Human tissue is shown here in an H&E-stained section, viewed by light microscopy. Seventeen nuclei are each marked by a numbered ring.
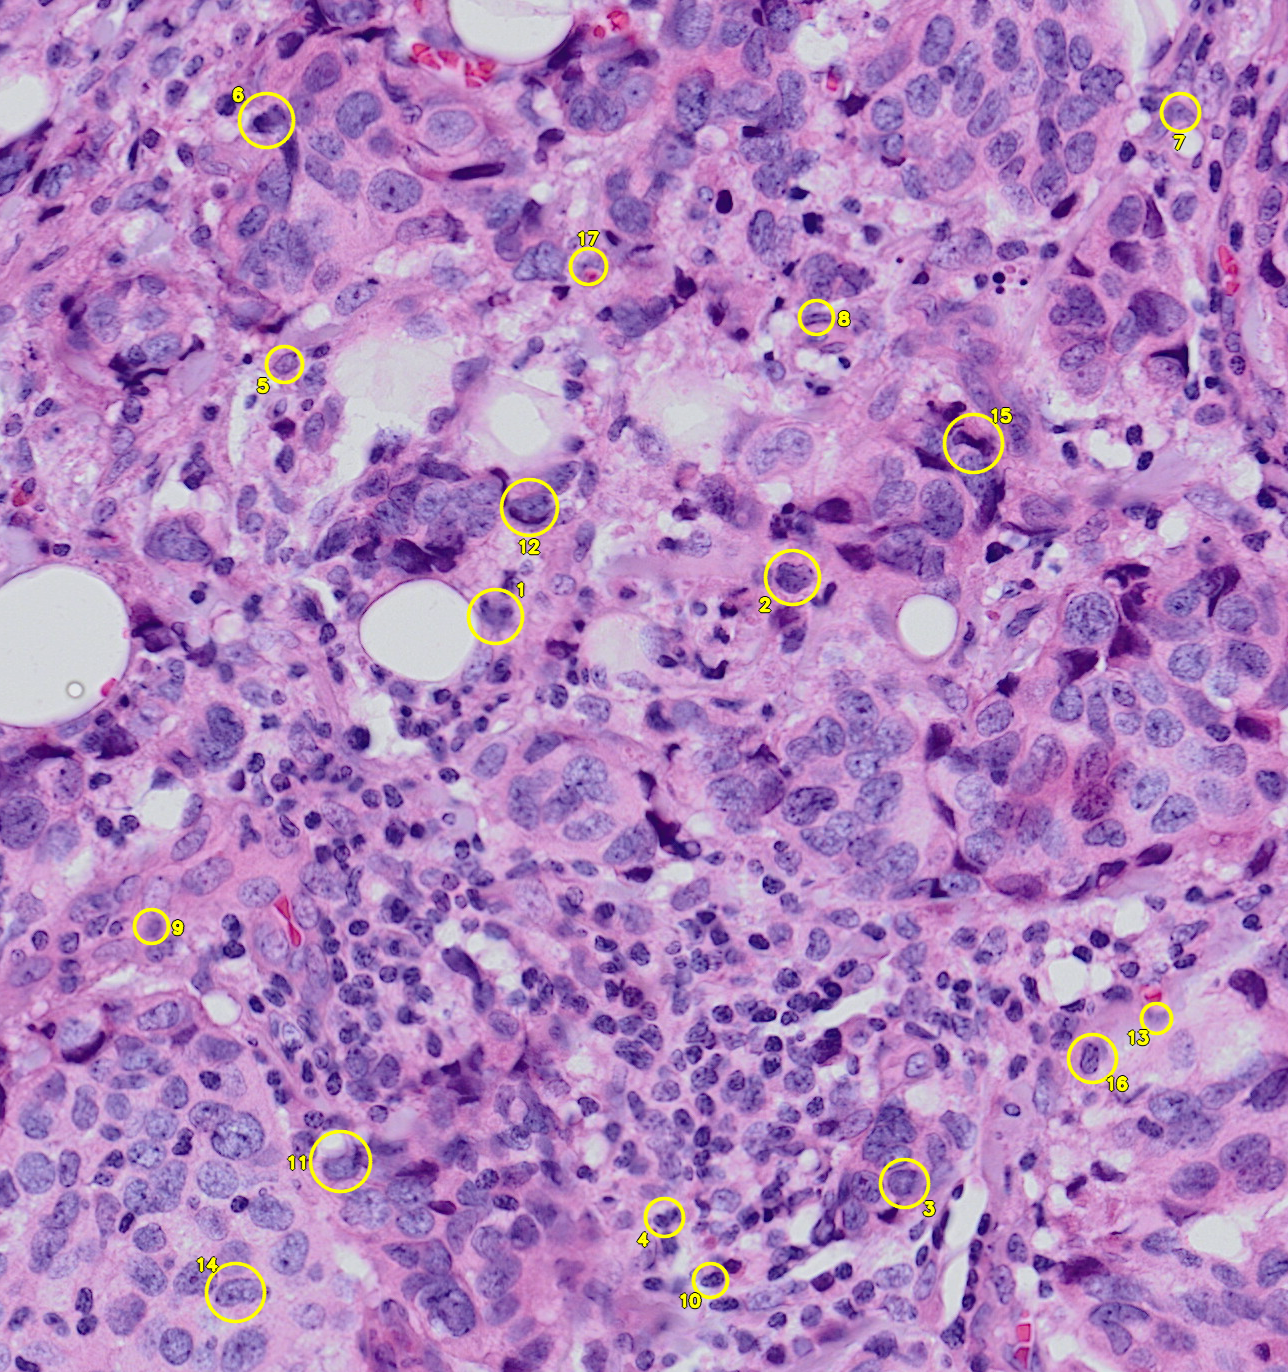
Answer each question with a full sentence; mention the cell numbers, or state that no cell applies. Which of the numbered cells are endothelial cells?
The cells shown with numbers 7, 8, 9, 13 and 17 are endothelial cells.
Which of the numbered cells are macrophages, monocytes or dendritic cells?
On this slide, the cells numbered 5 and 16 are macrophages, monocytes or dendritic cells.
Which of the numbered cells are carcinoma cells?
In short, the numbered cells 1, 2, 3, 6, 11, 12, 14 and 15 are carcinoma cells.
